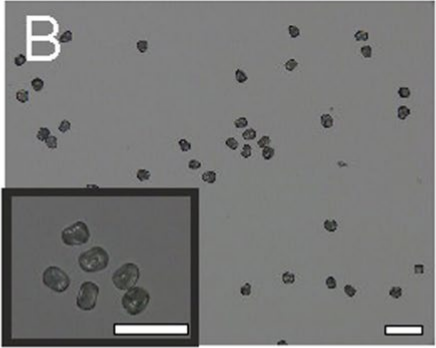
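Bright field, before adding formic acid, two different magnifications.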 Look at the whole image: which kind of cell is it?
Pollen.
